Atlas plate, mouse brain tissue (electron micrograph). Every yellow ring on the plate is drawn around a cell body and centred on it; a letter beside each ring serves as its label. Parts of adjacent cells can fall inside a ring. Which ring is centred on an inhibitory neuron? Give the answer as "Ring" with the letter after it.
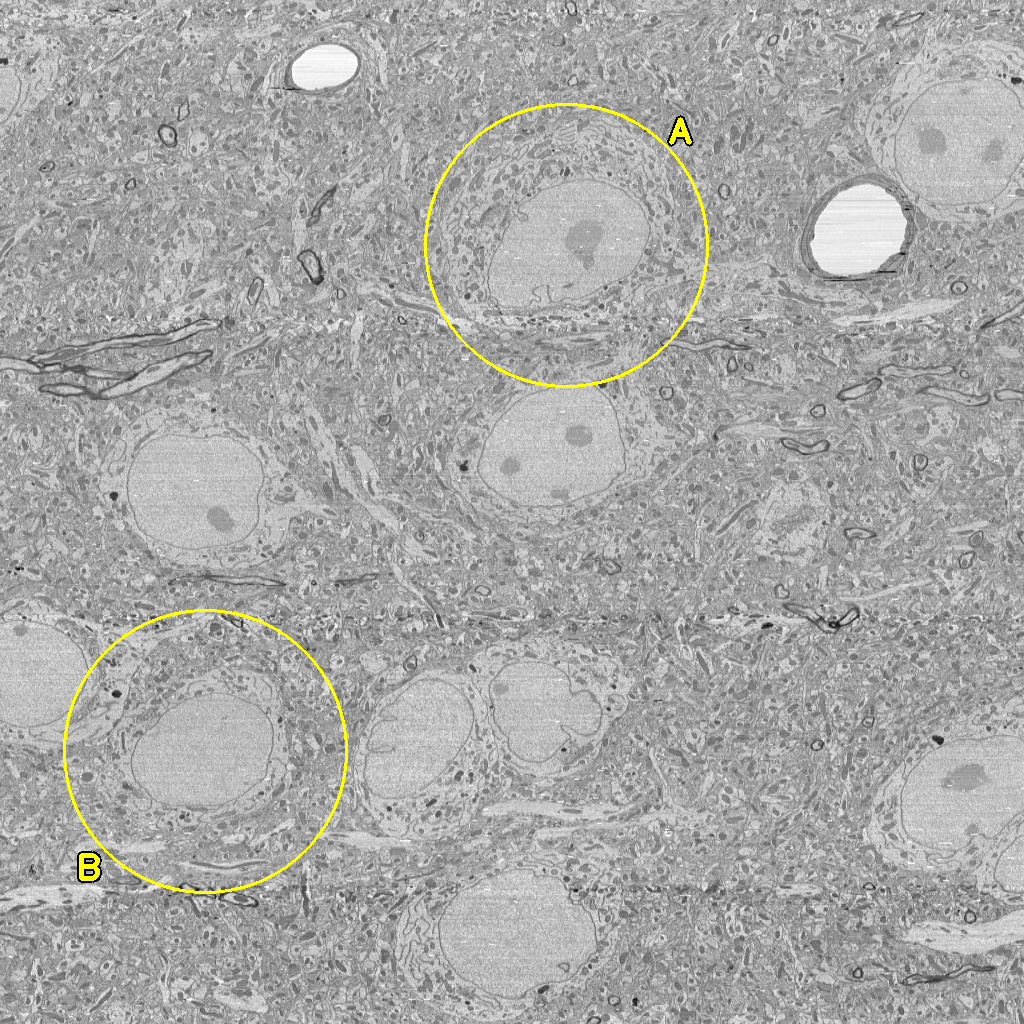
Ring A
